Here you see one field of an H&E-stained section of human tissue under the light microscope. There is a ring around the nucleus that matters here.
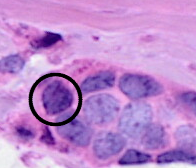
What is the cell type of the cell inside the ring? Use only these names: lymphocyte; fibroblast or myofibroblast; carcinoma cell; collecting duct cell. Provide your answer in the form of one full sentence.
In this preparation, the cell inside the ring is a carcinoma cell.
